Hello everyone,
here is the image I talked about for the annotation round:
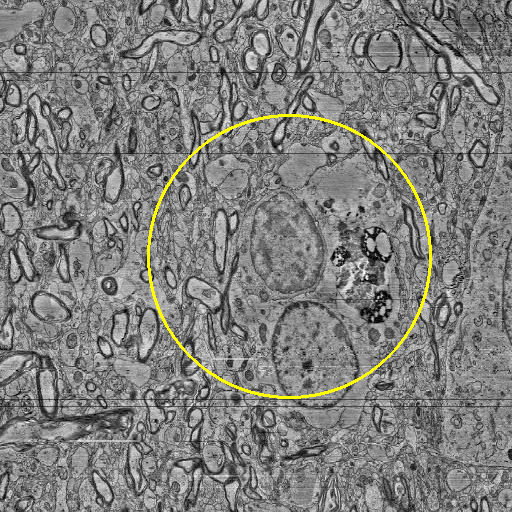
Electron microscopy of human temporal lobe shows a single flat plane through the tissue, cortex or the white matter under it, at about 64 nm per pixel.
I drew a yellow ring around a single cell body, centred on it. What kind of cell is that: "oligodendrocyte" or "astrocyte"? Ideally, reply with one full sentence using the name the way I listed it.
The cell your yellow ring is centred on is an oligodendrocyte, going by your list.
